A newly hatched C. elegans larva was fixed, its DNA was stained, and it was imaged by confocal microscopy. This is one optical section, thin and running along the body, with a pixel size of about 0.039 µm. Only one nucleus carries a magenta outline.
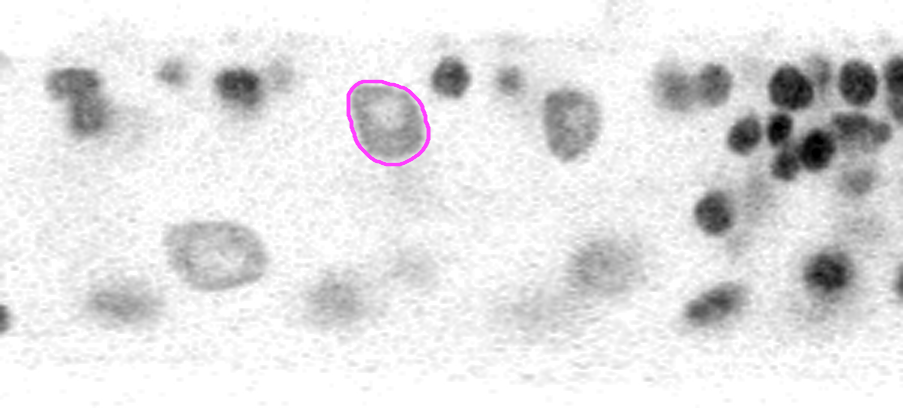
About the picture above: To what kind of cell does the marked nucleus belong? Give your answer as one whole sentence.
It belongs to an intestinal cell.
